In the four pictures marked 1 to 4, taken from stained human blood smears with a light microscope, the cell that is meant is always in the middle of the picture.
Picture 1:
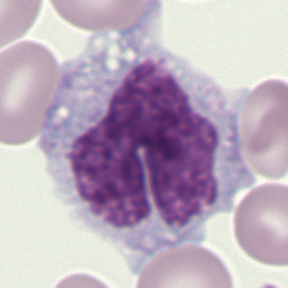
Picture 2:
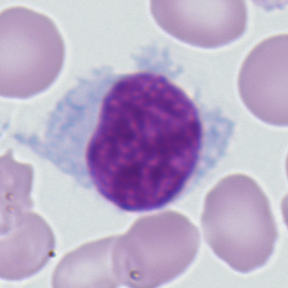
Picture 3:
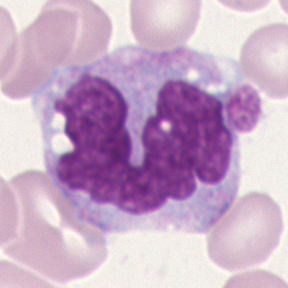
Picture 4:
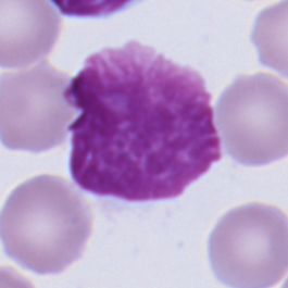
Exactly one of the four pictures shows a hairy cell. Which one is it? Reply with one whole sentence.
Picture 2 is the one that shows the hairy cell.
